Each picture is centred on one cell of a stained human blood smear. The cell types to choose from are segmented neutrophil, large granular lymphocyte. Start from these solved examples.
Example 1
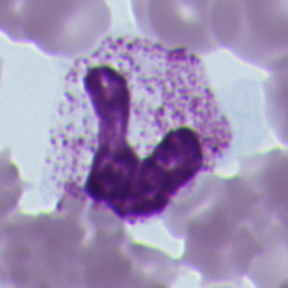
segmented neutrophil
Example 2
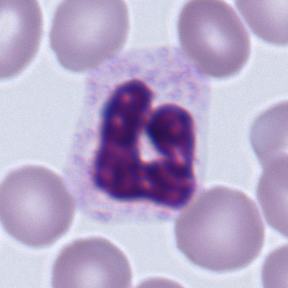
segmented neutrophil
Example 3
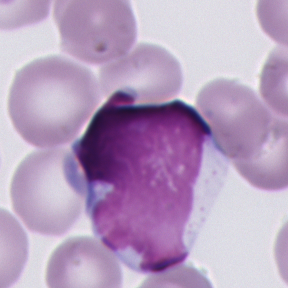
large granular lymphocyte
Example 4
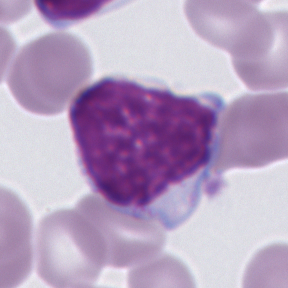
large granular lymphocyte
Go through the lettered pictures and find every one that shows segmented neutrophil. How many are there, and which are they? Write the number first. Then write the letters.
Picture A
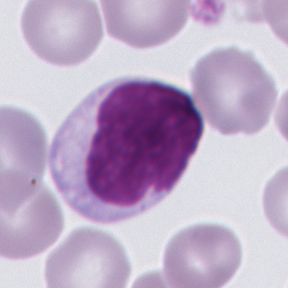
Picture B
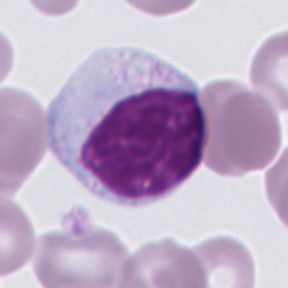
0, none of them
